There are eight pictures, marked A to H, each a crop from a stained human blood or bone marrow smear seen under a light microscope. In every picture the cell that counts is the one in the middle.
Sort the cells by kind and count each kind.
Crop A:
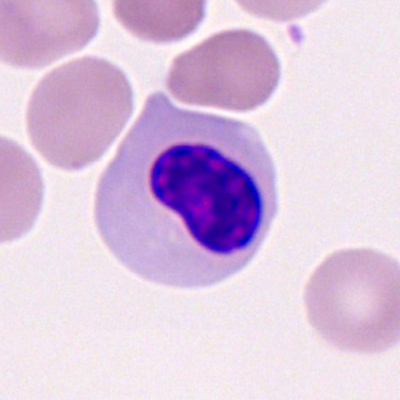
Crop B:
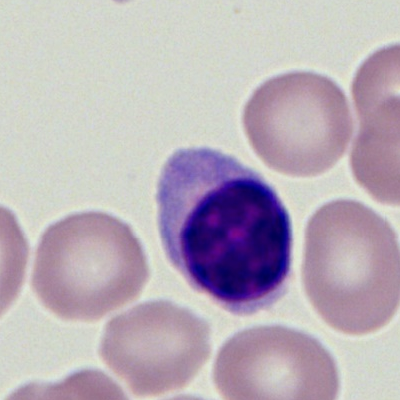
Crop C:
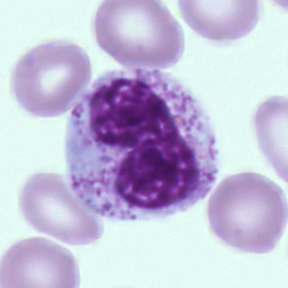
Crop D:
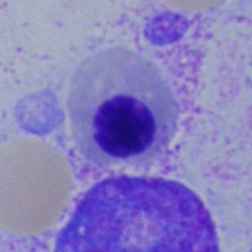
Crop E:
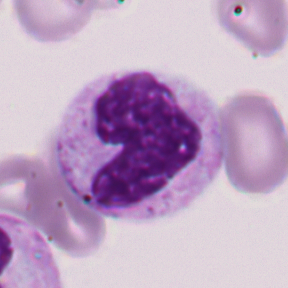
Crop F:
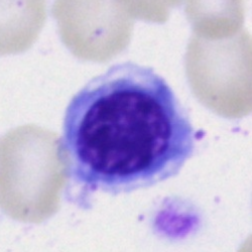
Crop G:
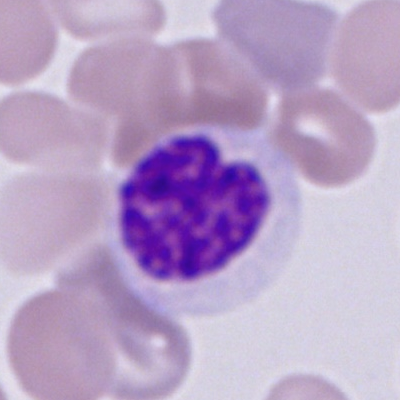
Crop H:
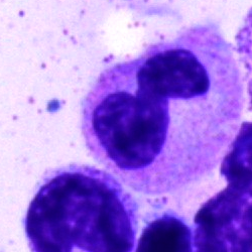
normoblast: 4
band neutrophil: 4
